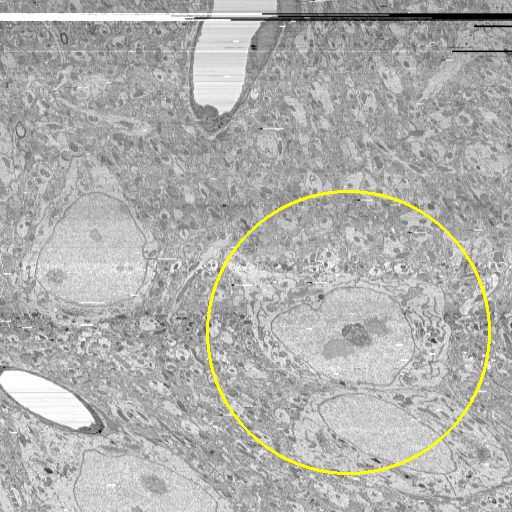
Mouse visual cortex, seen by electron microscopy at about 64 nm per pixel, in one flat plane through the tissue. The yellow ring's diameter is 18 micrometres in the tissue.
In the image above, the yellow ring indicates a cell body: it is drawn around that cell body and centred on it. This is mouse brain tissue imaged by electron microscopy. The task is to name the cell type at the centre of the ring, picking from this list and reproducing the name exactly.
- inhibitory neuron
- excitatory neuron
inhibitory neuron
